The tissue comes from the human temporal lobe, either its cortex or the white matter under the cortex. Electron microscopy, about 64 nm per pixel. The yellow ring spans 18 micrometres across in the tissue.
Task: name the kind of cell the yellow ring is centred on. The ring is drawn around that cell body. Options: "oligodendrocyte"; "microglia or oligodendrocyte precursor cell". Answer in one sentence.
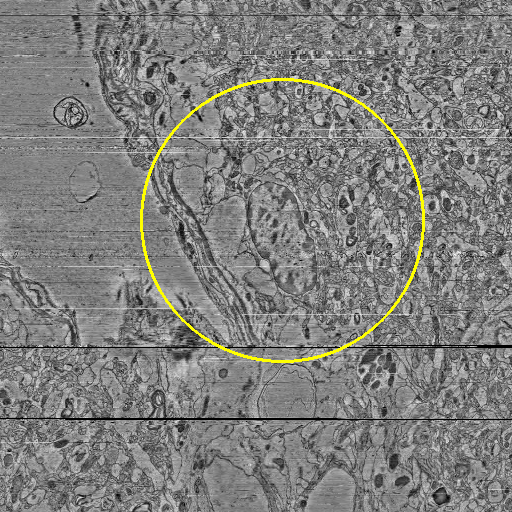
This cell body belongs to a microglial cell or oligodendrocyte precursor cell.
